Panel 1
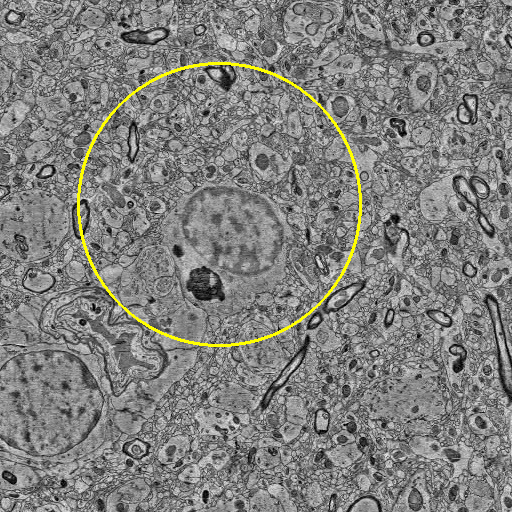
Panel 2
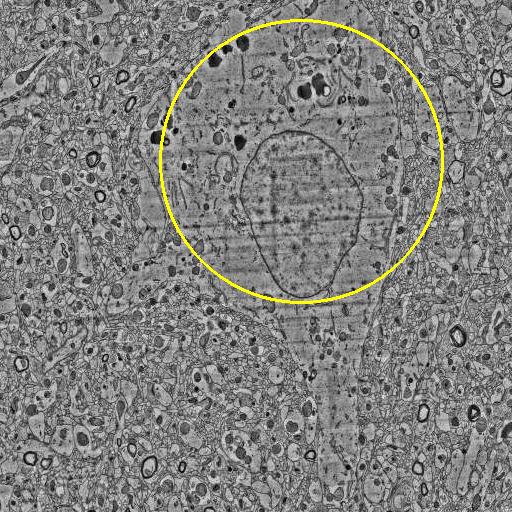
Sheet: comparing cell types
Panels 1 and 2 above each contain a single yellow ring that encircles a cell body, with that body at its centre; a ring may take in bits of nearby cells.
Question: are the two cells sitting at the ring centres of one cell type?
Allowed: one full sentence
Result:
No, the ring-centre cells in Panel 1 and Panel 2 are of two types.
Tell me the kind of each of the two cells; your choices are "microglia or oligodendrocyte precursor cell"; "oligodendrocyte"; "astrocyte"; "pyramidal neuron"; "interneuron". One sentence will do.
The ringed cell is an oligodendrocyte in the first picture and a pyramidal neuron in the second picture.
